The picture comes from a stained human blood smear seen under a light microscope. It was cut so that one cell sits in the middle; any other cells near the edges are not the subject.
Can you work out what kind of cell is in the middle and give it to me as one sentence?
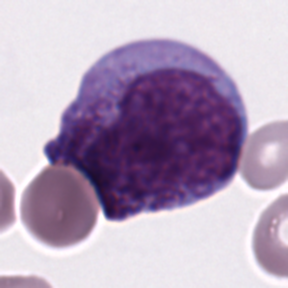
The single cell at the center of the crop is an atypical promyelocyte.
